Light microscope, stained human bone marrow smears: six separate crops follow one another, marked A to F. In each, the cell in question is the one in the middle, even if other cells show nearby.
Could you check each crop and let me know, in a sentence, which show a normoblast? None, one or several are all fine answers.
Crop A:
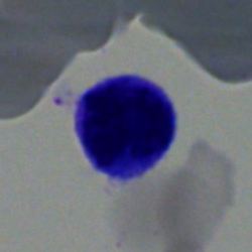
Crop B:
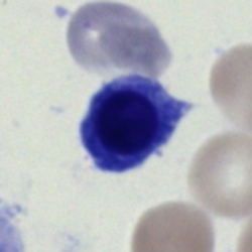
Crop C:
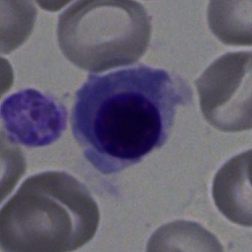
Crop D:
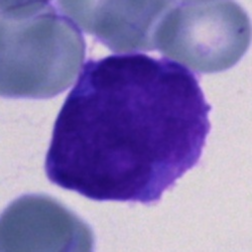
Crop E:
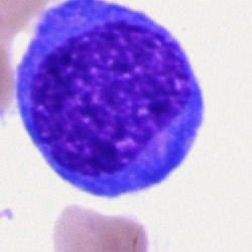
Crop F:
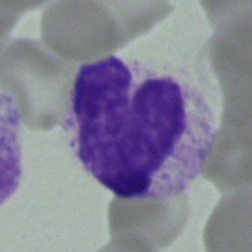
The cells marked B, C and E are normoblasts.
